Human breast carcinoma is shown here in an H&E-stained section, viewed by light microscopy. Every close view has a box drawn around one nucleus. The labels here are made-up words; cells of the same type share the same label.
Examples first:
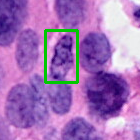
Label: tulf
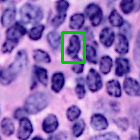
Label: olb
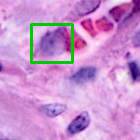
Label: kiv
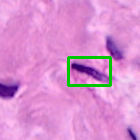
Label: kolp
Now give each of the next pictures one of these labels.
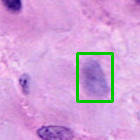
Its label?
kolp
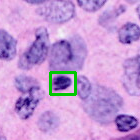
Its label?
olb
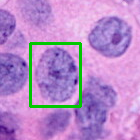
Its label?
tulf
